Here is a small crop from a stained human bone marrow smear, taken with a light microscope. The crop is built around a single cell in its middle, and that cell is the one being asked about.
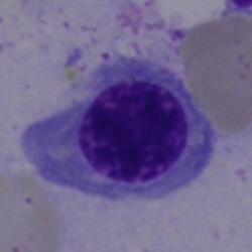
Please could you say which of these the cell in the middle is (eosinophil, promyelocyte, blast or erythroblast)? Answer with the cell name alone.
erythroblast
